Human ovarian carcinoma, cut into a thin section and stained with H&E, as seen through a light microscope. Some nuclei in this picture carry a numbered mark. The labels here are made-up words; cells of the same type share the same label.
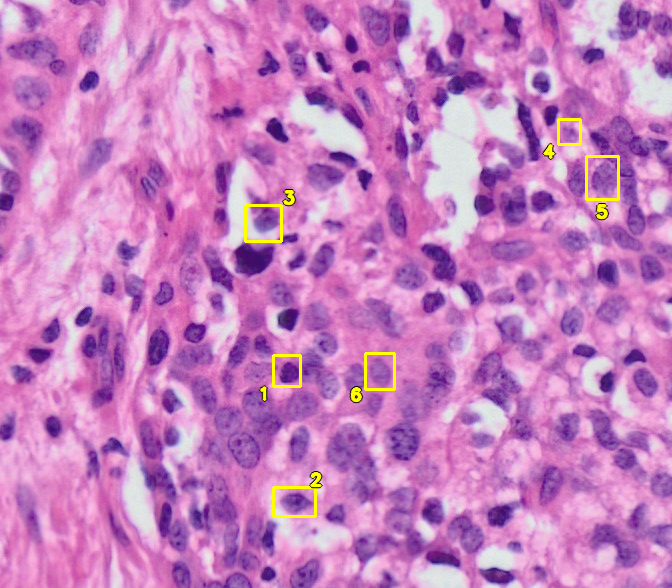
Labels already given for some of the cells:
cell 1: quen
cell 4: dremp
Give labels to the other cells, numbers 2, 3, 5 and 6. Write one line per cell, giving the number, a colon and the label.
2: dremp
3: quen
5: quen
6: quen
